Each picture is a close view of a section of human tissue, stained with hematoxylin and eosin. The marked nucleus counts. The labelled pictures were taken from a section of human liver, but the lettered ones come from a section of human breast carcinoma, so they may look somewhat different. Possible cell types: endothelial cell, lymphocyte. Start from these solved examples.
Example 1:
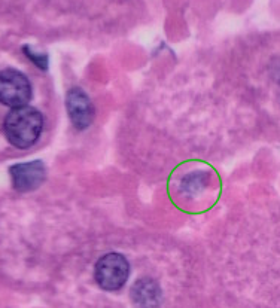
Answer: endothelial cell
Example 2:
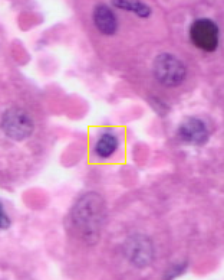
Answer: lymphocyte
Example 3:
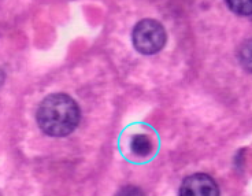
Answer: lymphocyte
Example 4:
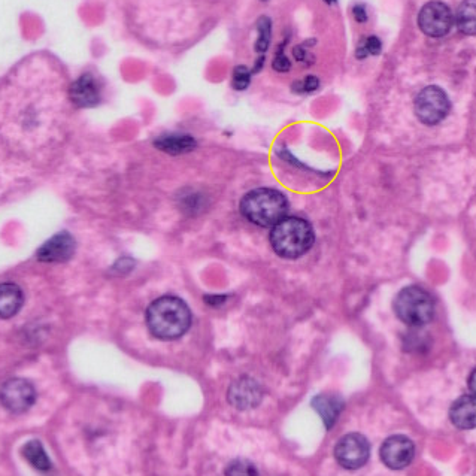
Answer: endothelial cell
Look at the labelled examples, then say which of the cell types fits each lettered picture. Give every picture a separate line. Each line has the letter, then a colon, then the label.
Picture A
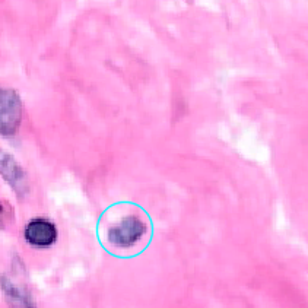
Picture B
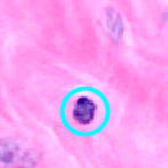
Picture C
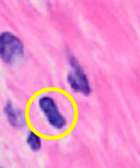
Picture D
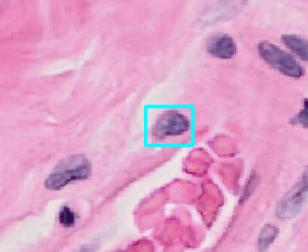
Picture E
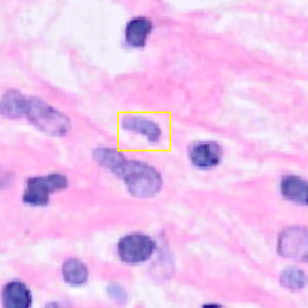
A: lymphocyte
B: lymphocyte
C: lymphocyte
D: endothelial cell
E: lymphocyte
